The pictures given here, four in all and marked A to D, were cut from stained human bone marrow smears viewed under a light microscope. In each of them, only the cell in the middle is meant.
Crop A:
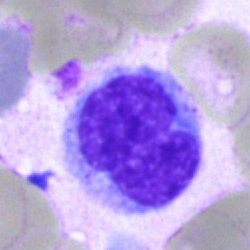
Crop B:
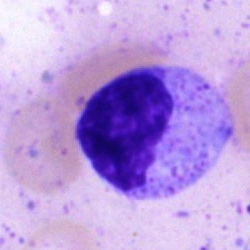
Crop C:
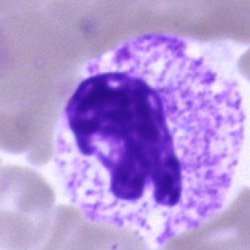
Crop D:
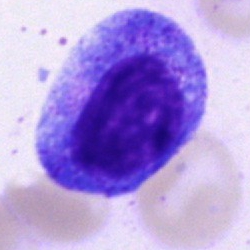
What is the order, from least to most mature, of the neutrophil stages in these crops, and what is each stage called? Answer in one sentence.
The correct order from least to most mature is crop D (a promyelocyte), crop B (a myelocyte), crop A (a metamyelocyte) and crop C (a segmented neutrophil).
